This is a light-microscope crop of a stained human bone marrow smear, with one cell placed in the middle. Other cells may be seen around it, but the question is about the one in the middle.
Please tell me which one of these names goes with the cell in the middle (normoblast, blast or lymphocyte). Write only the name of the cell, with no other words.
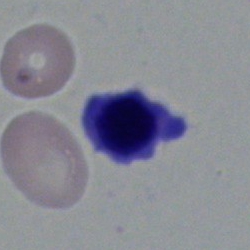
normoblast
